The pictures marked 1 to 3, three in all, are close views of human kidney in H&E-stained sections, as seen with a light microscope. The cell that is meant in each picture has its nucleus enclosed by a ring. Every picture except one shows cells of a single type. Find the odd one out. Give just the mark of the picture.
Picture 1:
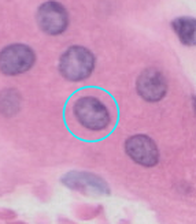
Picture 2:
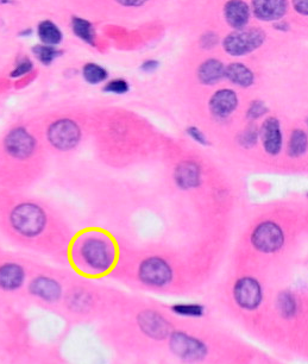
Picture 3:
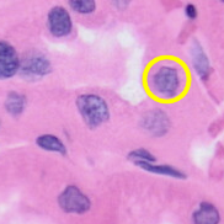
3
